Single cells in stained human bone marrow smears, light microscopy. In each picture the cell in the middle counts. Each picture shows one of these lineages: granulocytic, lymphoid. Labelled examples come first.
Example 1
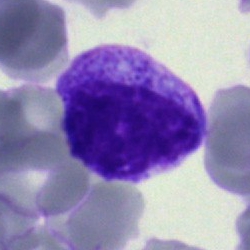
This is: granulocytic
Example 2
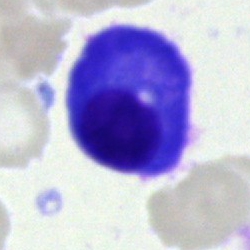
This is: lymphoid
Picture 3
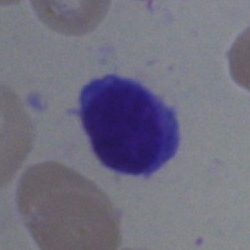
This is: lymphoid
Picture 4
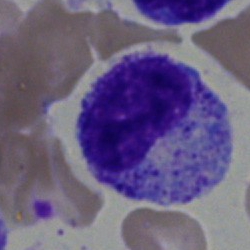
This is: granulocytic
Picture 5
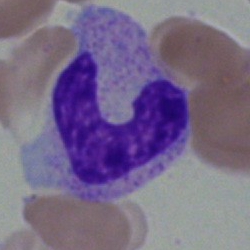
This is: granulocytic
